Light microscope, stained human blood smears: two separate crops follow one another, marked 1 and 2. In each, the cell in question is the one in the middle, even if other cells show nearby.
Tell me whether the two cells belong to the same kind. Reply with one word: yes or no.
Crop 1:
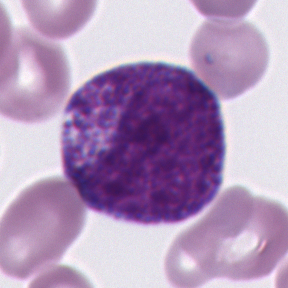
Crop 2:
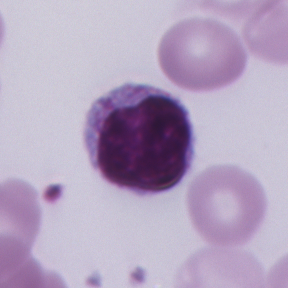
no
